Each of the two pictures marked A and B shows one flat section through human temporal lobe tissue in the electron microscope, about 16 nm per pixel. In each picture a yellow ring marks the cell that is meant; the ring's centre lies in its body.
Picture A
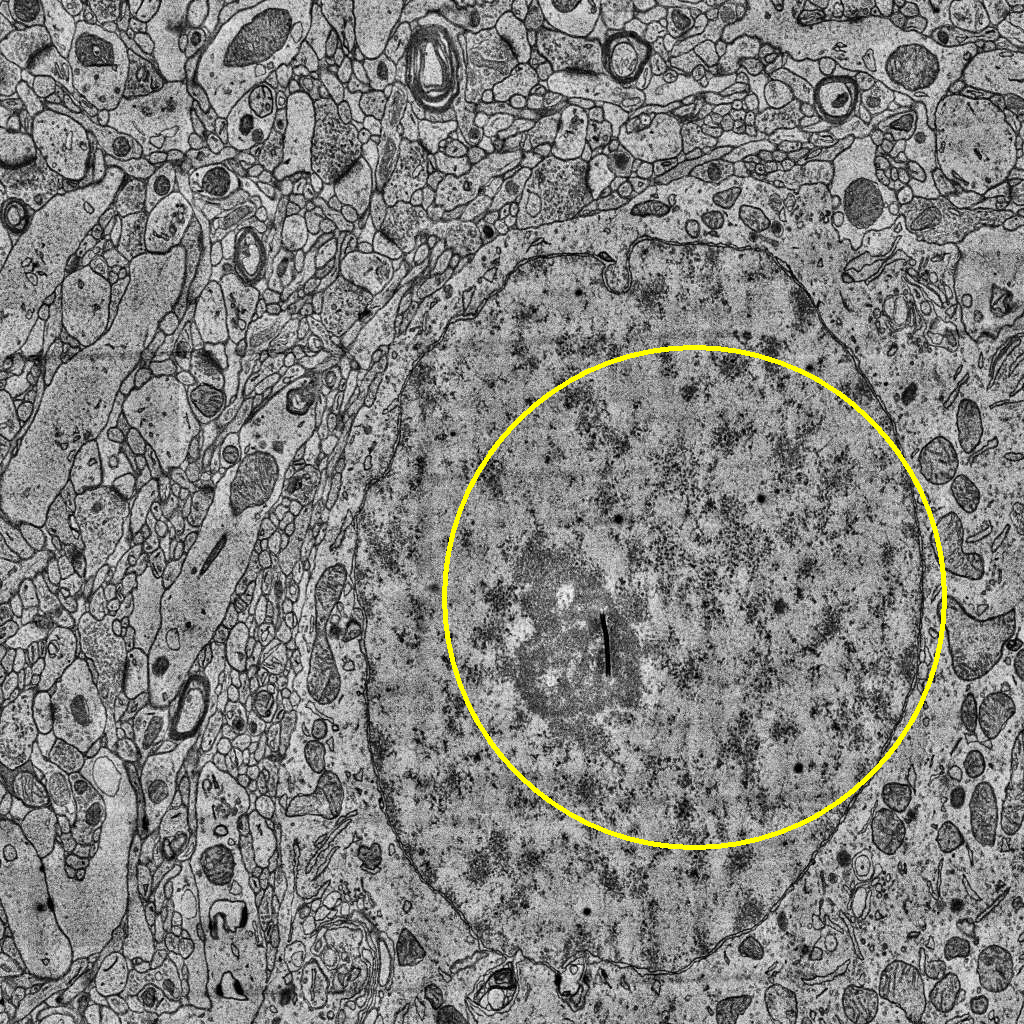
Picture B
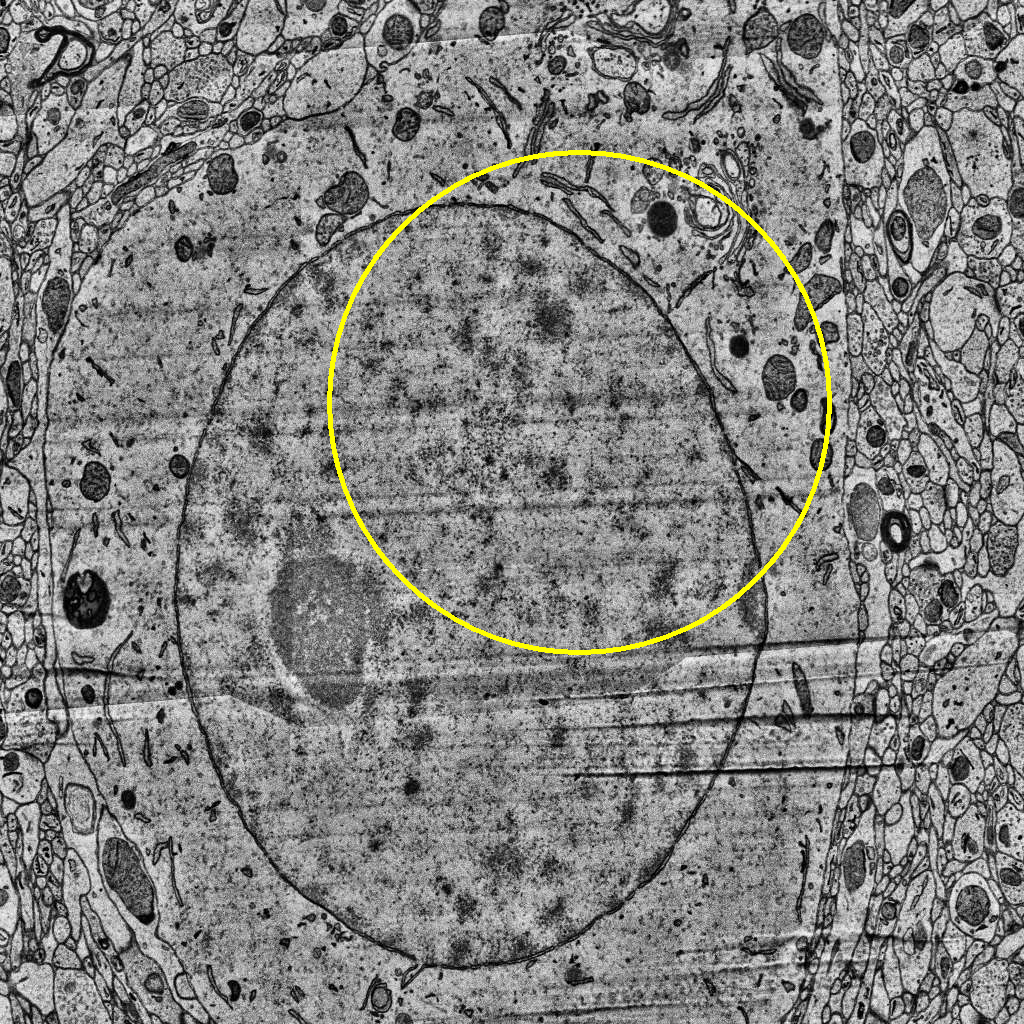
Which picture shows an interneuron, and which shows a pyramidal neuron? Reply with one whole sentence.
In picture A the cell is an interneuron; in picture B, a pyramidal neuron.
